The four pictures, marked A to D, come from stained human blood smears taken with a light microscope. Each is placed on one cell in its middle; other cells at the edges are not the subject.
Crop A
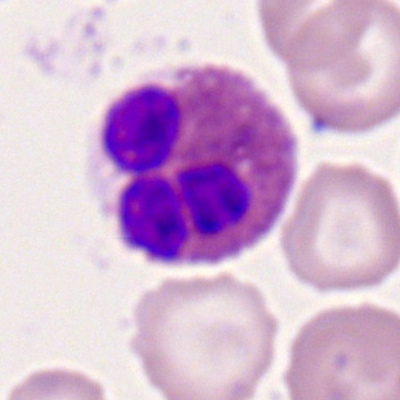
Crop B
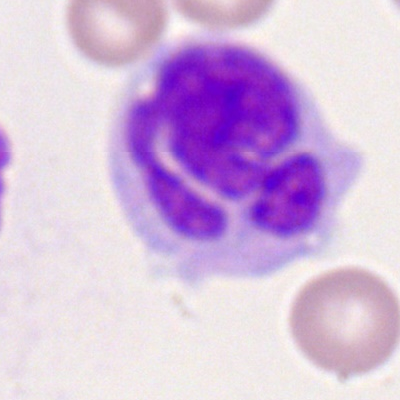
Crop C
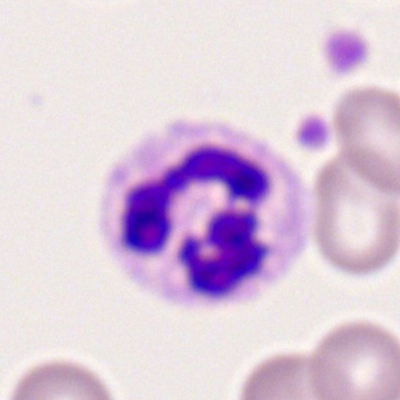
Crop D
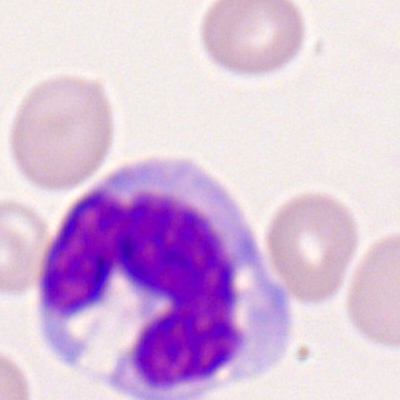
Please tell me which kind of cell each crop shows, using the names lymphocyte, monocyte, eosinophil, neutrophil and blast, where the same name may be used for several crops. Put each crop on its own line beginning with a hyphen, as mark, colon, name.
- A: eosinophil
- B: monocyte
- C: neutrophil
- D: monocyte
